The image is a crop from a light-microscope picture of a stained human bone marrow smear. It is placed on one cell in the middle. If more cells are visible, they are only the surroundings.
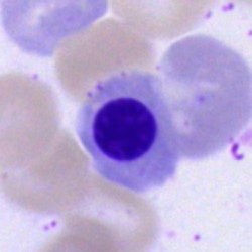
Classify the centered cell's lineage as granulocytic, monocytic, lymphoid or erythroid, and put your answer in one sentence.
The cell in the middle of the crop belongs to the erythroid lineage.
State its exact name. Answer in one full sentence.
In this smear crop, the middle cell is an erythroblast.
